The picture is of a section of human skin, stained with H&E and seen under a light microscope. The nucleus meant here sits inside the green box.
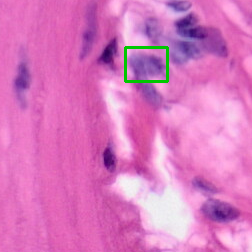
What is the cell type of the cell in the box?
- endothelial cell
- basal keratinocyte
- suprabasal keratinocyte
endothelial cell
